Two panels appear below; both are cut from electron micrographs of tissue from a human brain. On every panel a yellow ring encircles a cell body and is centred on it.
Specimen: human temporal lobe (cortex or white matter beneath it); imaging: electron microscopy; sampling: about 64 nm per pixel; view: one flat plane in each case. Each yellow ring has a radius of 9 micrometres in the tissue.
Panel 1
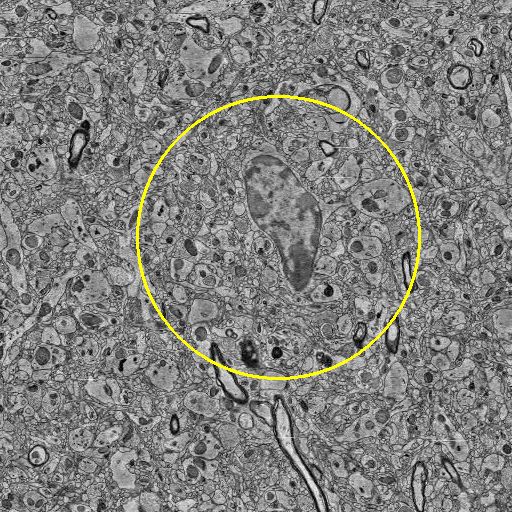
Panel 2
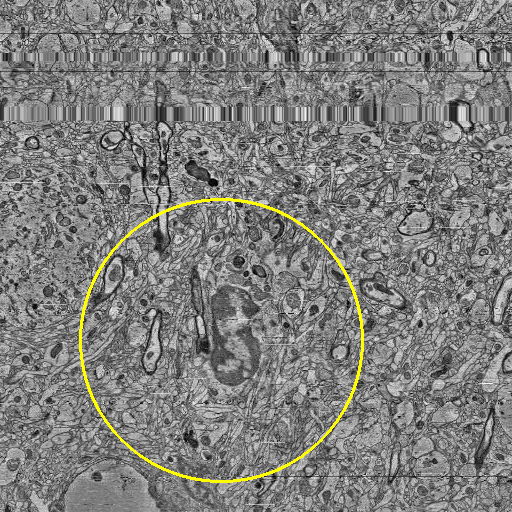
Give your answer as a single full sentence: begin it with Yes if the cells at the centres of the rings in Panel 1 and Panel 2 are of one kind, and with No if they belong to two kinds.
Yes, the cells in the middle of the rings in Panels 1 and 2 are of one kind.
